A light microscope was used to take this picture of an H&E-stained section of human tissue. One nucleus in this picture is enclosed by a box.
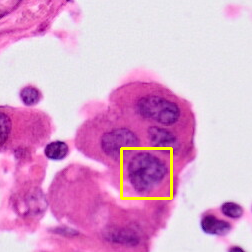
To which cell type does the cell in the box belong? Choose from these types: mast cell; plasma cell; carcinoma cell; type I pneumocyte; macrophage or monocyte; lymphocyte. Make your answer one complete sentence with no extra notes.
For cell typing purposes, the cell in the box is a carcinoma cell.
